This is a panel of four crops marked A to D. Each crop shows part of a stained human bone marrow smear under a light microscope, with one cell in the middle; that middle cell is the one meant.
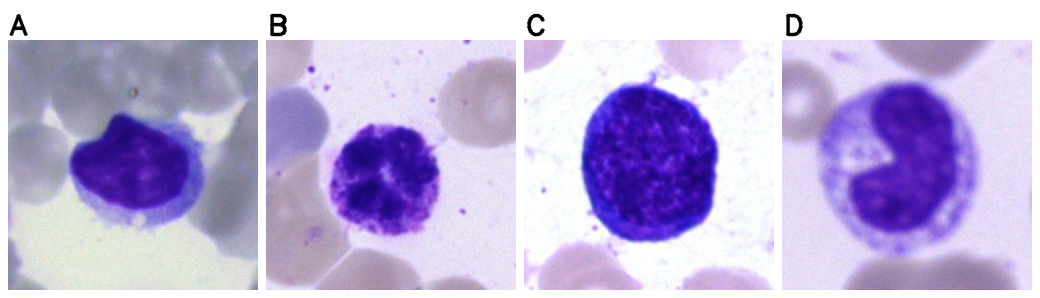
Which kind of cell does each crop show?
A: lymphocyte
B: basophil
C: promyelocyte
D: metamyelocyte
